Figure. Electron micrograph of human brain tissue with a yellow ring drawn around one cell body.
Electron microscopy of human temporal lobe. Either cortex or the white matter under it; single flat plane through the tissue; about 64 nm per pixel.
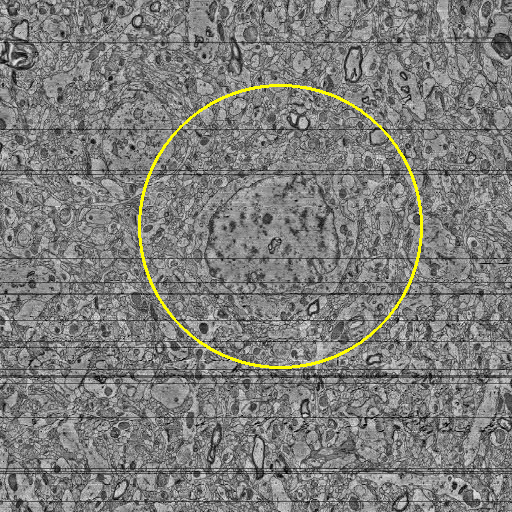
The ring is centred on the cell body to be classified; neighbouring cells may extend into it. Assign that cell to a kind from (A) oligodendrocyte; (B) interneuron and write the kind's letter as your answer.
B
